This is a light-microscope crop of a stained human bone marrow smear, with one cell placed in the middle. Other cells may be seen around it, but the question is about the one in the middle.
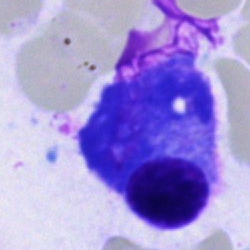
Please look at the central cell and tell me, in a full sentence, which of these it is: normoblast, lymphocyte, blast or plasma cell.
On this slide crop, the central cell is a plasma cell.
